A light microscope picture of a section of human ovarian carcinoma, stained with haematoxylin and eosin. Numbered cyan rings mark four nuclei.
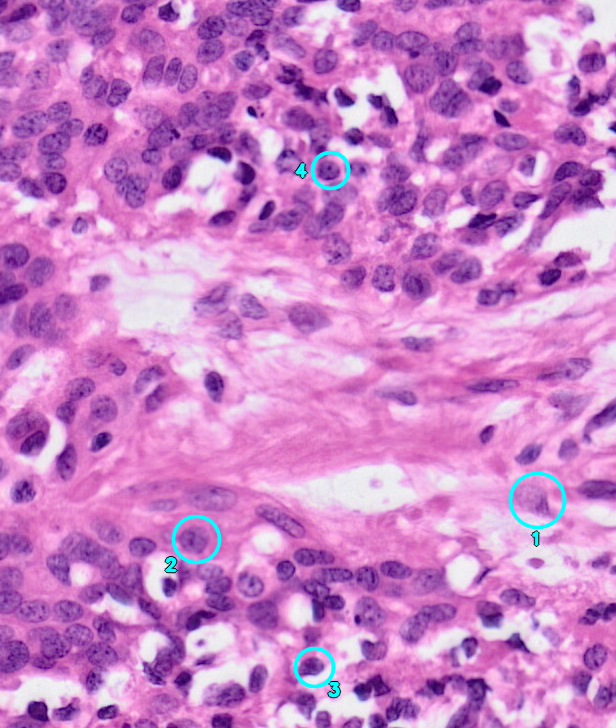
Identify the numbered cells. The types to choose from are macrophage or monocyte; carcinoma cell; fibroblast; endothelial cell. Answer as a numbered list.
1. fibroblast
2. carcinoma cell
3. carcinoma cell
4. macrophage or monocyte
